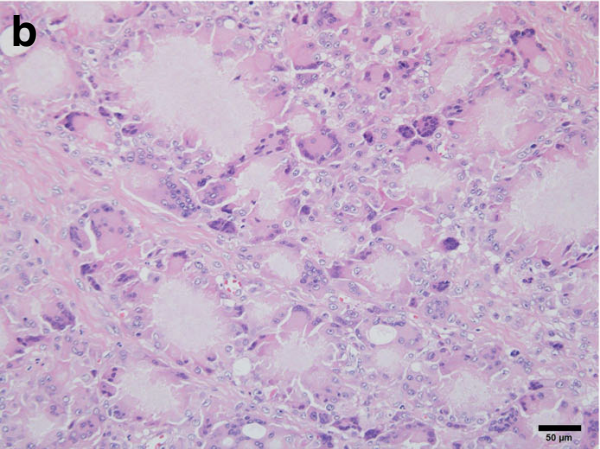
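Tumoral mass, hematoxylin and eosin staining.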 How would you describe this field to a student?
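Foreign-body granulomatous tissue with many small rounded foci, each centred on pale bluish-pink, fibrillary crystalline material. The foci are rimmed by macrophages with ample pink cytoplasm and round nuclei, and by multinucleated giant cells bearing clusters of dark purple nuclei. Thin strands of pink fibrous stroma separate the granulomas, and small clear vacuoles are scattered between cells.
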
